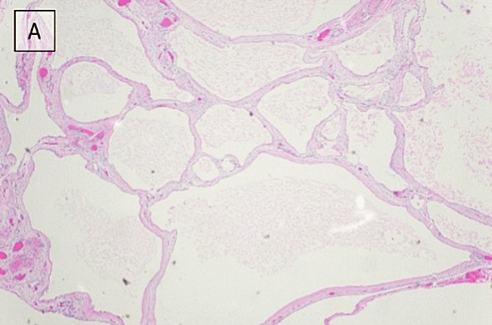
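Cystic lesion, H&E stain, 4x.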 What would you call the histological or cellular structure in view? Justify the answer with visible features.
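Fibrous septae. Thin pink bands of tissue run between large empty-looking round spaces.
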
